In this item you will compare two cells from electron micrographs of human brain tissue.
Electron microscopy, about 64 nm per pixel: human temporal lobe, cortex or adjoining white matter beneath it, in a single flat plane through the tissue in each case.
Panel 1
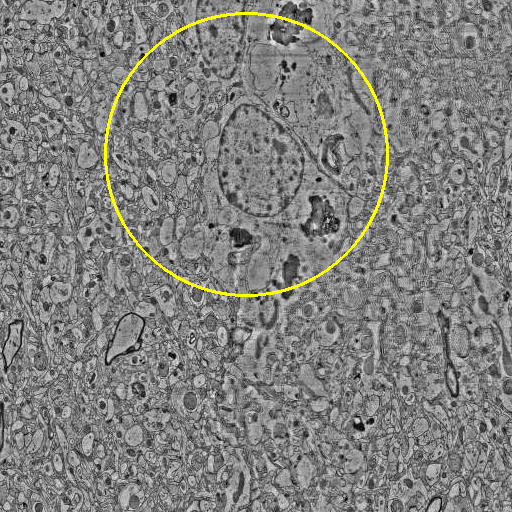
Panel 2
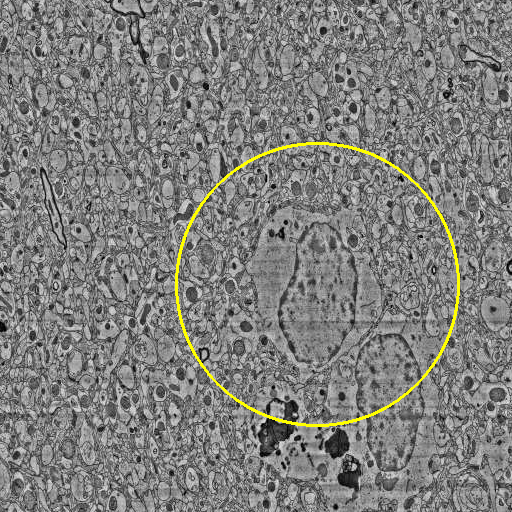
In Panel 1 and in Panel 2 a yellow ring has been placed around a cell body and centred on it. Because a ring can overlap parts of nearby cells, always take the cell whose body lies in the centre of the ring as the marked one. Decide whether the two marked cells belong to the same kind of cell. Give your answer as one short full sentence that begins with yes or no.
Yes, the two marked cells belong to the same kind of cell.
